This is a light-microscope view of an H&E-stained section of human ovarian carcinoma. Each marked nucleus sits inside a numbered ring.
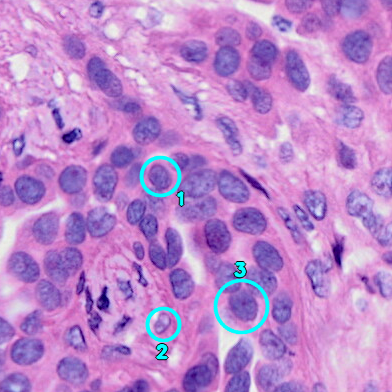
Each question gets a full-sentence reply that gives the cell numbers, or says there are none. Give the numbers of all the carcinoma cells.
The cells numbered 1 and 3 are typed as carcinoma cells.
